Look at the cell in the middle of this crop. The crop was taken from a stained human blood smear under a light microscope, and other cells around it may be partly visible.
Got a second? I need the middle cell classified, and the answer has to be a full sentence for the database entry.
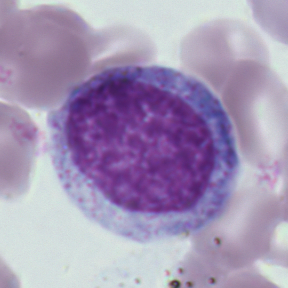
Here the cell in the middle is a promyelocyte.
